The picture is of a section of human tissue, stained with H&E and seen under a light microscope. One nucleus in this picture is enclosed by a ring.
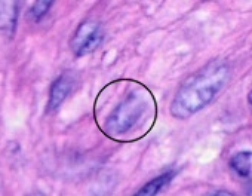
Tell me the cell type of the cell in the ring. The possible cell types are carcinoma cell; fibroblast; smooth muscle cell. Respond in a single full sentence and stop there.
Typologically, the cell in the ring is a fibroblast in this section.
